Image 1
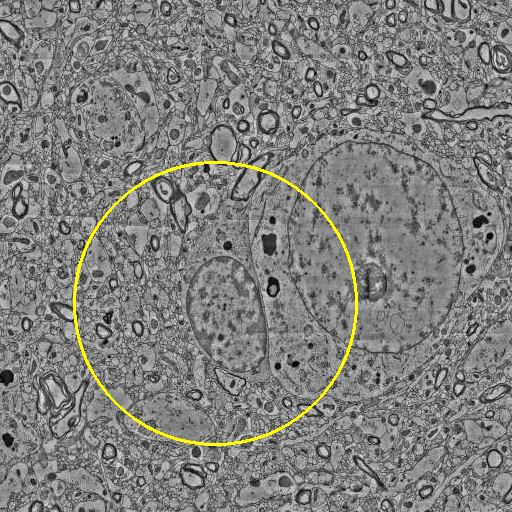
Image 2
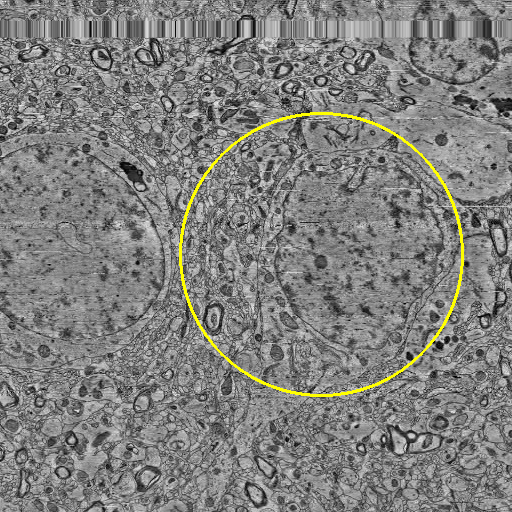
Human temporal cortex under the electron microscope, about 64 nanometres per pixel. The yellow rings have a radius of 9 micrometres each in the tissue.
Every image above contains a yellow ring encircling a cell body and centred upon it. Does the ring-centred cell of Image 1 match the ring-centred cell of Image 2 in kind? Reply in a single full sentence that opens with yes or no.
No, the cell at the ring's centre in Image 1 is a separate kind from that in Image 2.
